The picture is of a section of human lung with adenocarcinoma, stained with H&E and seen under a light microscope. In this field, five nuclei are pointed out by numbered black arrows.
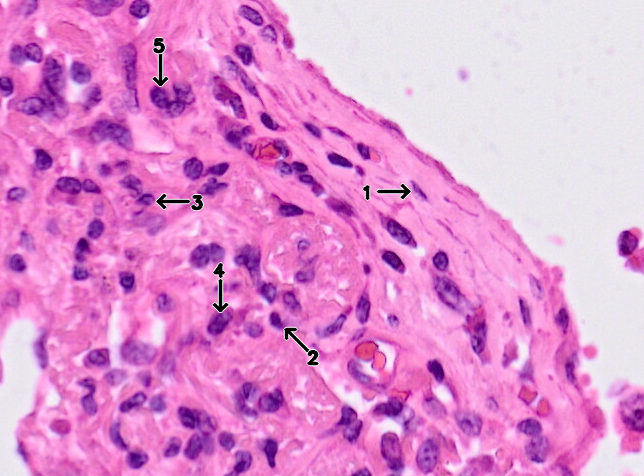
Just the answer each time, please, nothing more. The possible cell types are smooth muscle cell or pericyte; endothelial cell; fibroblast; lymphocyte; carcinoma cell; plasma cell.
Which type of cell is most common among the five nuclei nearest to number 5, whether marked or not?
endothelial cell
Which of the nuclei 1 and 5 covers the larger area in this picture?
5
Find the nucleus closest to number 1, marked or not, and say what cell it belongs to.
plasma cell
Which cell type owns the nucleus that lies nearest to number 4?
plasma cell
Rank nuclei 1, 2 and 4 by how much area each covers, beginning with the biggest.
4, 2, 1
